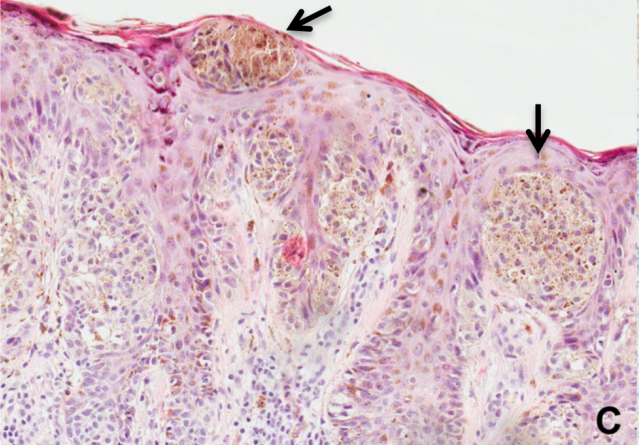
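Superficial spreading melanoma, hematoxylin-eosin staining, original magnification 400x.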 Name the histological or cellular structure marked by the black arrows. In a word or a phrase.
Large intraepidermal and junctional nests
